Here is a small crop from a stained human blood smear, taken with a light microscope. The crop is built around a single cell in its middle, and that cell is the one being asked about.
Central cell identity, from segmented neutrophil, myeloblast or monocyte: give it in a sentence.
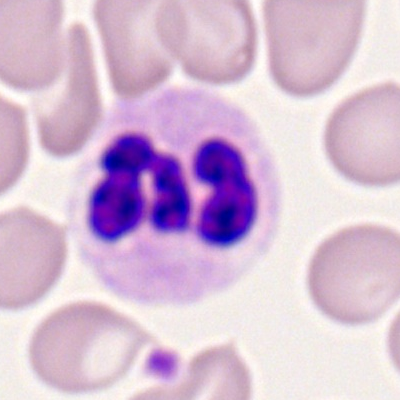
The cell centred in this crop is categorized as a segmented neutrophil.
